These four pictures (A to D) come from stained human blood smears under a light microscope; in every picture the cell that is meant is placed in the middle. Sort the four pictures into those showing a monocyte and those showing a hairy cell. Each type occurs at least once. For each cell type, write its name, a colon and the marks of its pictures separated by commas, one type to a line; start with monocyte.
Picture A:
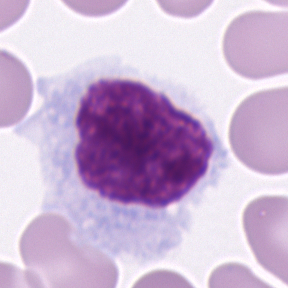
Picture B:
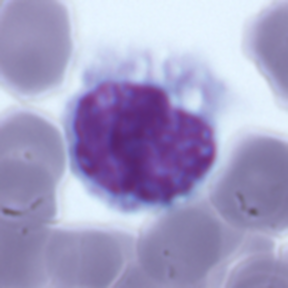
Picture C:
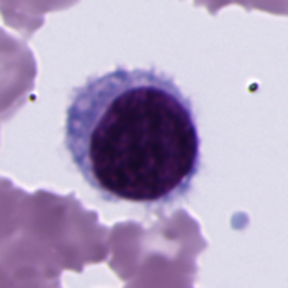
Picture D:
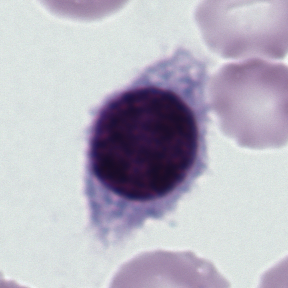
monocyte: B
hairy cell: A, C, D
